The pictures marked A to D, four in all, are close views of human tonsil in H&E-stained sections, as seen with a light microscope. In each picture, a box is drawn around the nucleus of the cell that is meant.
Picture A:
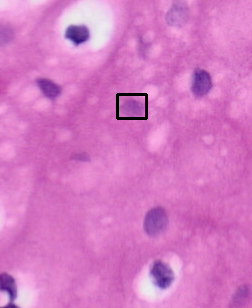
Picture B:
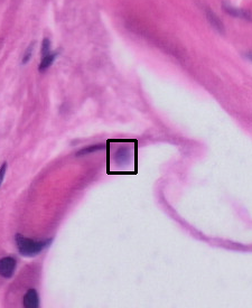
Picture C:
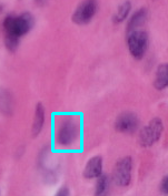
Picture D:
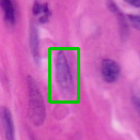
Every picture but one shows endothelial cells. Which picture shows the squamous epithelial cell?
A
